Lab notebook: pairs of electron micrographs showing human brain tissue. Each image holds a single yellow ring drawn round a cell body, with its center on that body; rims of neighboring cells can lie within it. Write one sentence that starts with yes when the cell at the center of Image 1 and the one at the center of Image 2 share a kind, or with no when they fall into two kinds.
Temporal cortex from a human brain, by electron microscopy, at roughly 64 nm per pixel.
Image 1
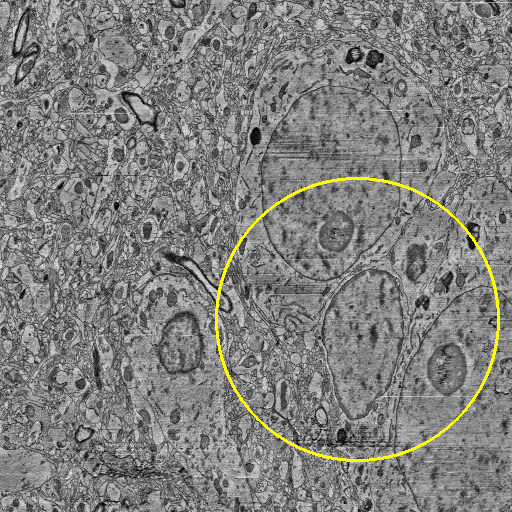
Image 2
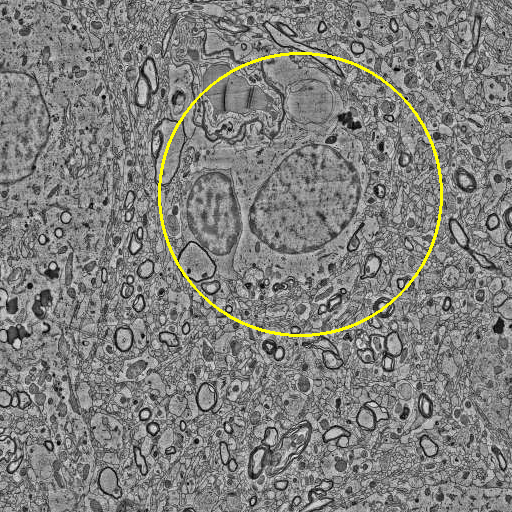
Yes, the centered cell in Image 1 and the centered cell in Image 2 are of one kind.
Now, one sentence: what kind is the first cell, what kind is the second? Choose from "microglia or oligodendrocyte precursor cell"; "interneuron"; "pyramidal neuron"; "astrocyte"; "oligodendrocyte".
In the first picture and in the second, the ring is centred on a microglial cell or oligodendrocyte precursor cell.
